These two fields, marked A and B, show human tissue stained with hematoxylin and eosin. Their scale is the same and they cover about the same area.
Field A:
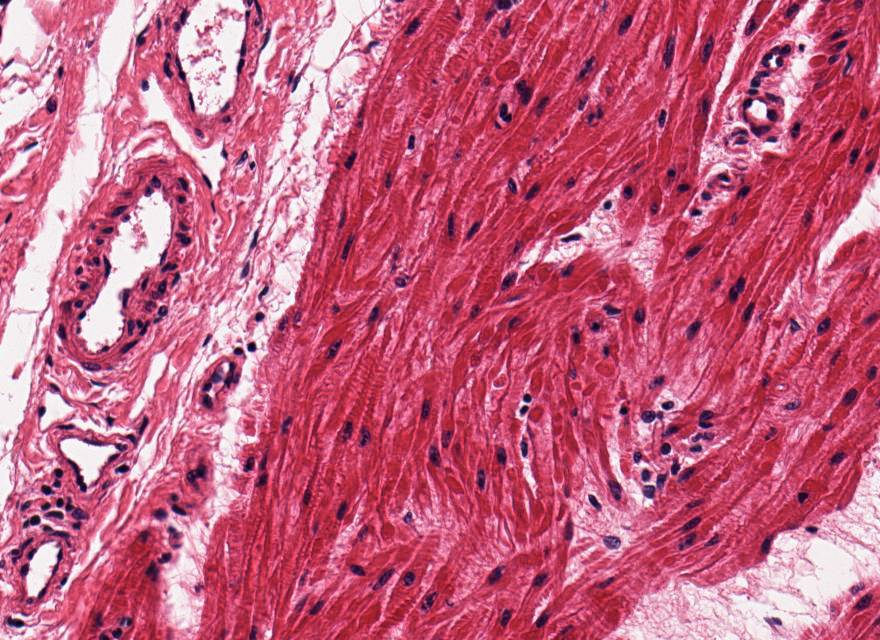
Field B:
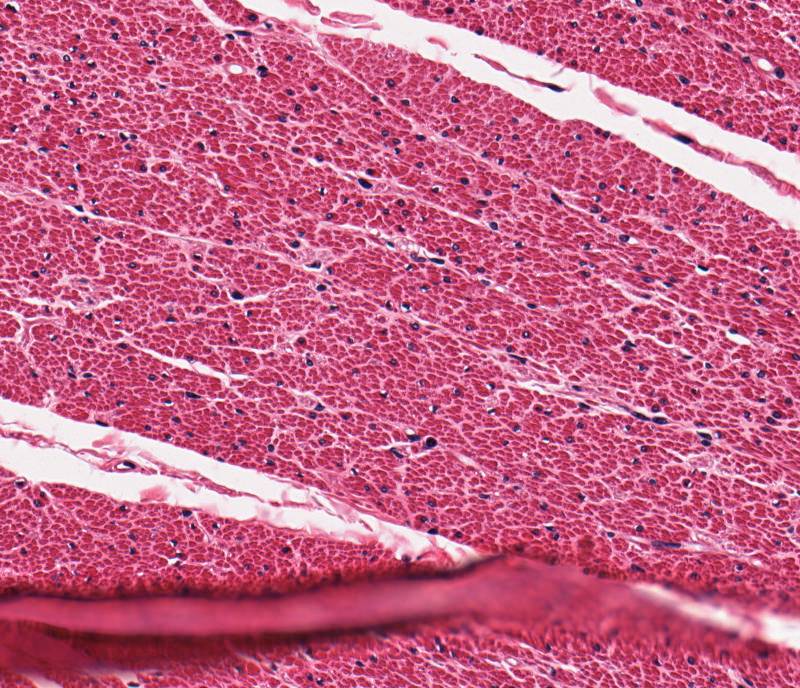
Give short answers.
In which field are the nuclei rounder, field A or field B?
B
